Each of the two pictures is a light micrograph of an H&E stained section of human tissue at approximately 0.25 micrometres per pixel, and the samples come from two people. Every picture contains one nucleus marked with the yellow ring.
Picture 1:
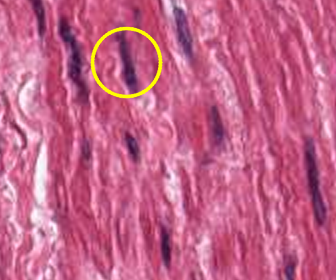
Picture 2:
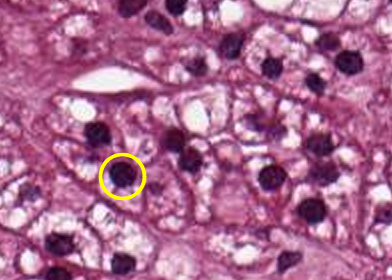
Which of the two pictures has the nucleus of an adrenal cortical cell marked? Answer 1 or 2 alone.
2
